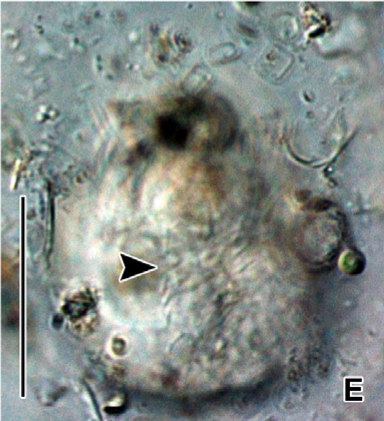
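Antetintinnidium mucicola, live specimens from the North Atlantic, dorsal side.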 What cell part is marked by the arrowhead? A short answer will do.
Somatic kineties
